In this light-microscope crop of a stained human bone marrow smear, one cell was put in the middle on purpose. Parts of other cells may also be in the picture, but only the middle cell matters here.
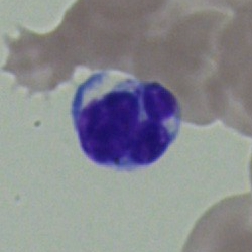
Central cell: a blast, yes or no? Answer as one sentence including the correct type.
No, the cell in the centre is to be called a lymphocyte instead of a blast.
